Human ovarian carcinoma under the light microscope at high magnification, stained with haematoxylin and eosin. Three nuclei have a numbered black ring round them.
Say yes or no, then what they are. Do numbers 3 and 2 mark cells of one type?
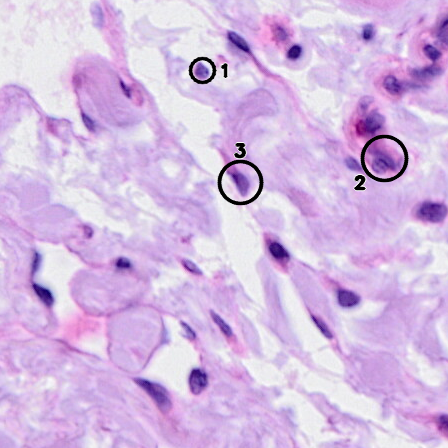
No, cell 3 is a fibroblast and cell 2 is an endothelial cell.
